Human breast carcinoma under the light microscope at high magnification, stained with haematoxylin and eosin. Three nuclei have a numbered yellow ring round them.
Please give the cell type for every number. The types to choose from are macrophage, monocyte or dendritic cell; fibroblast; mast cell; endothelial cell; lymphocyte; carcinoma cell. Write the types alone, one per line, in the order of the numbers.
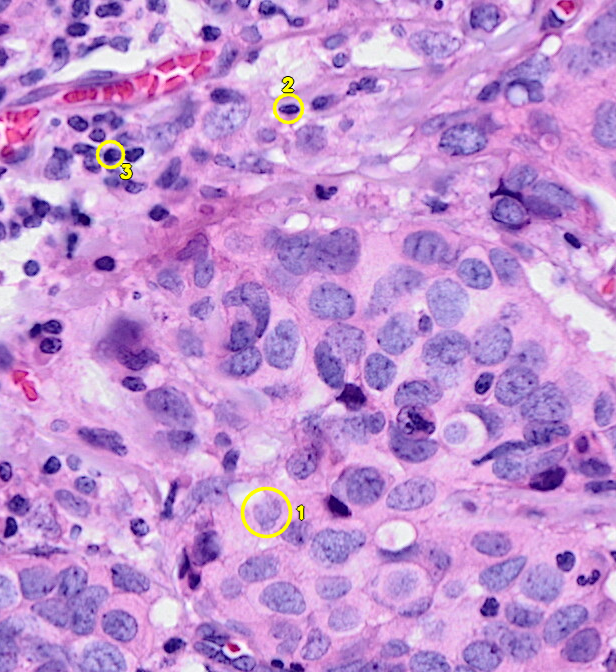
carcinoma cell
lymphocyte
lymphocyte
